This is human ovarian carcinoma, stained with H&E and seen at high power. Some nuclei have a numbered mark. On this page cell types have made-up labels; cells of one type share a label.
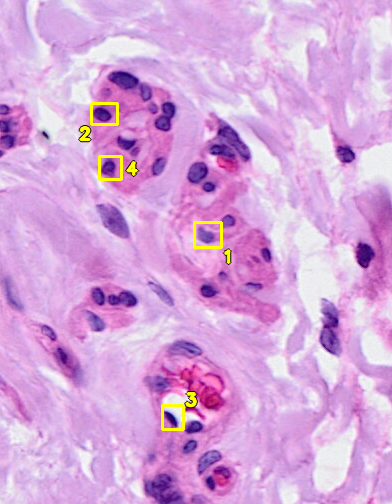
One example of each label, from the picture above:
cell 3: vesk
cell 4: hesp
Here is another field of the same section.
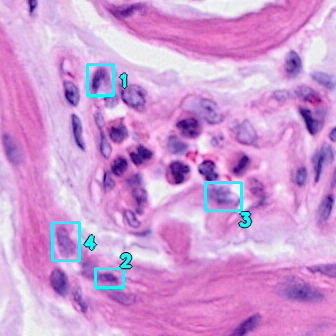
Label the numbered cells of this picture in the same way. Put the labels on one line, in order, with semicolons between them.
vesk; hesp; vesk; hesp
